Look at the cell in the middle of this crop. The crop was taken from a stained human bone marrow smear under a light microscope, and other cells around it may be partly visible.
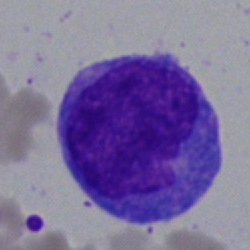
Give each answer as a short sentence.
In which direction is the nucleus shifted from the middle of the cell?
Seen from the middle of the cell, the nucleus lies toward the upper left.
